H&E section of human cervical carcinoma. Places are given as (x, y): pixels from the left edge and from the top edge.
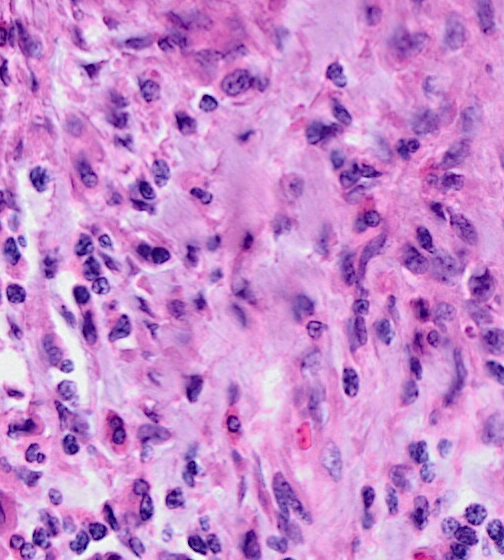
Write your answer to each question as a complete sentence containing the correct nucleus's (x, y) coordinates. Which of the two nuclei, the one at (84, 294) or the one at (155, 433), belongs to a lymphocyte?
Of the two nuclei, it is the one at (84, 294) that lies within a lymphocyte.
